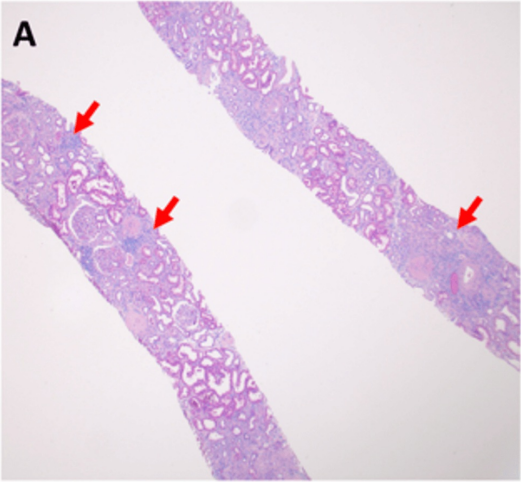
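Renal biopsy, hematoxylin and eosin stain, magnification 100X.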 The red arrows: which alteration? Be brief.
Patchy interstitial inflammation.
